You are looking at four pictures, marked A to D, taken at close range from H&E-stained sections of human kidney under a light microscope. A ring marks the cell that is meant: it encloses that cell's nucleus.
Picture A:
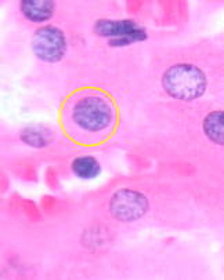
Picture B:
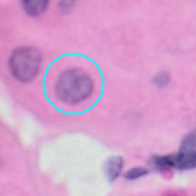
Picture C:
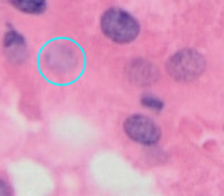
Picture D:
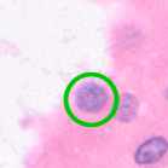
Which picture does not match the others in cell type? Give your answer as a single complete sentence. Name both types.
Unlike the rest, which show proximal tubule cells, picture A shows a “loop of Henle or distal tubule cell”.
